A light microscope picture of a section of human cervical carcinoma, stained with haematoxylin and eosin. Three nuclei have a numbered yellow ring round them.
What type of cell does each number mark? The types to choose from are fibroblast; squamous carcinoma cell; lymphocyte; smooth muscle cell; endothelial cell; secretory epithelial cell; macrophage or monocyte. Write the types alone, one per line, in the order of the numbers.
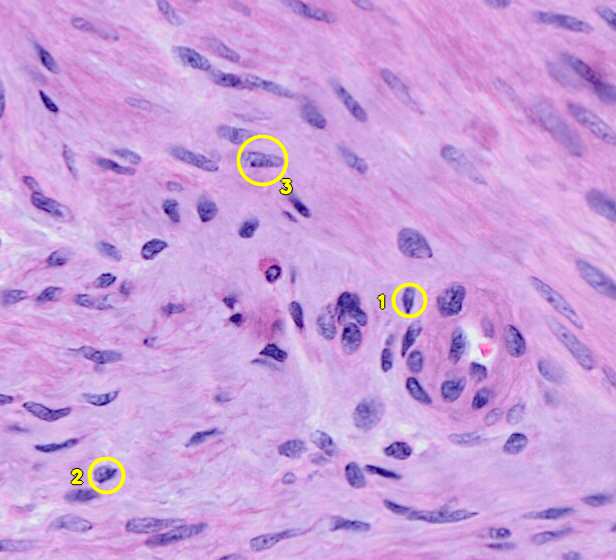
fibroblast
fibroblast
smooth muscle cell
